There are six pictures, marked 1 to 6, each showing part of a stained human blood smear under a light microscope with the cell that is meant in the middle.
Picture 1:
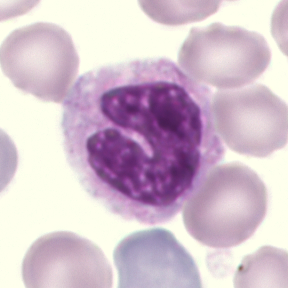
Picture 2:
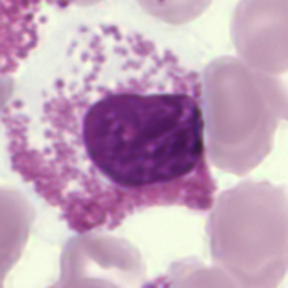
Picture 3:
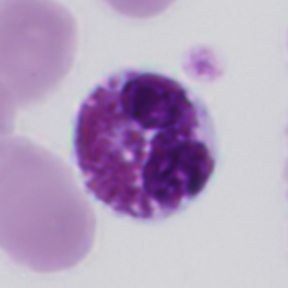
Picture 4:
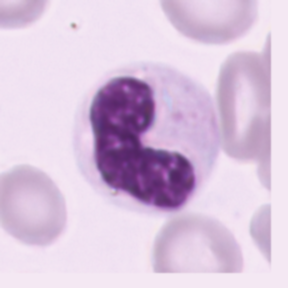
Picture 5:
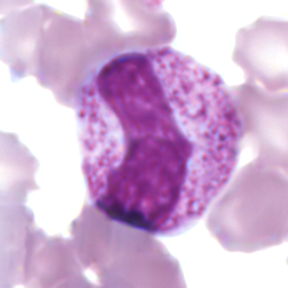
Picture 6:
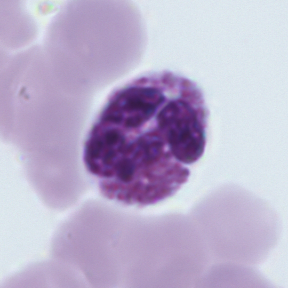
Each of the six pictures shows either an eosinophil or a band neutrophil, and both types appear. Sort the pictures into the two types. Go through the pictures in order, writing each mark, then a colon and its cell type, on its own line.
1: band neutrophil
2: eosinophil
3: eosinophil
4: band neutrophil
5: band neutrophil
6: eosinophil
